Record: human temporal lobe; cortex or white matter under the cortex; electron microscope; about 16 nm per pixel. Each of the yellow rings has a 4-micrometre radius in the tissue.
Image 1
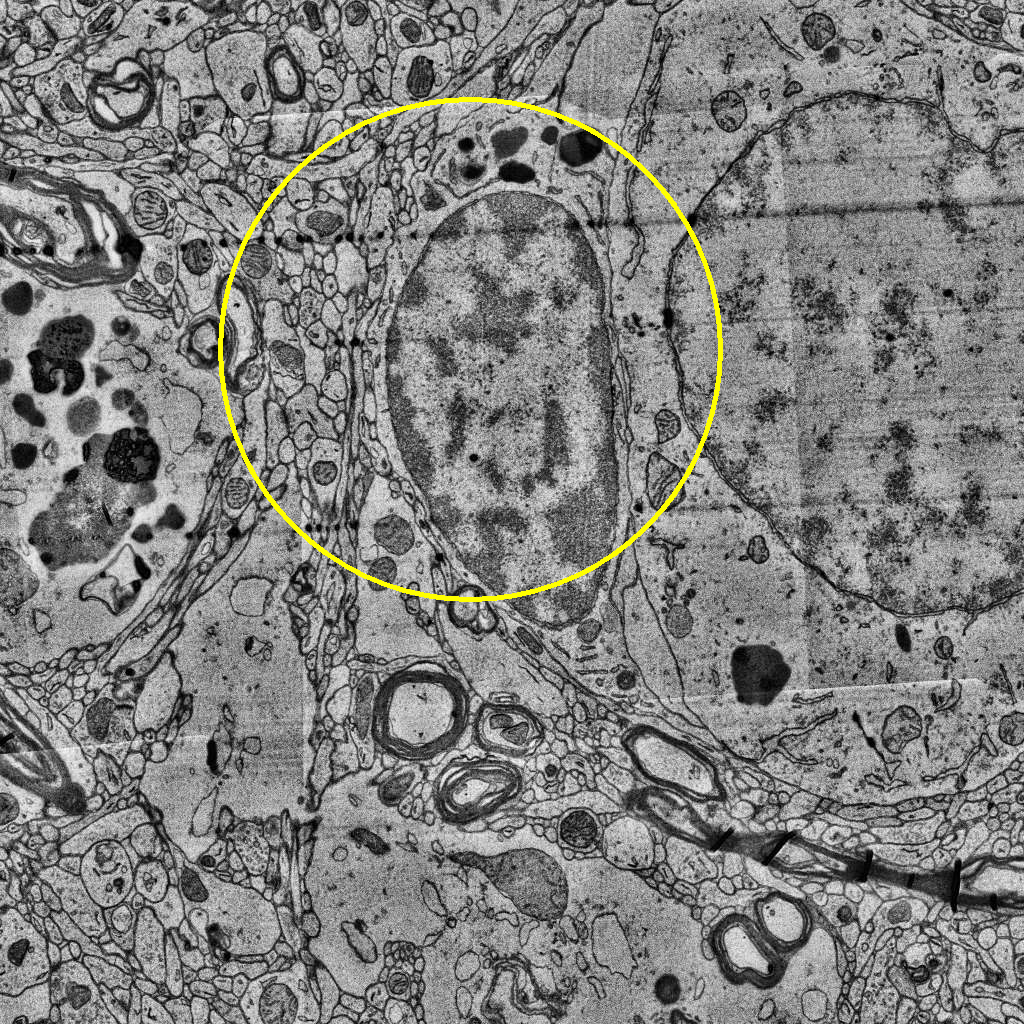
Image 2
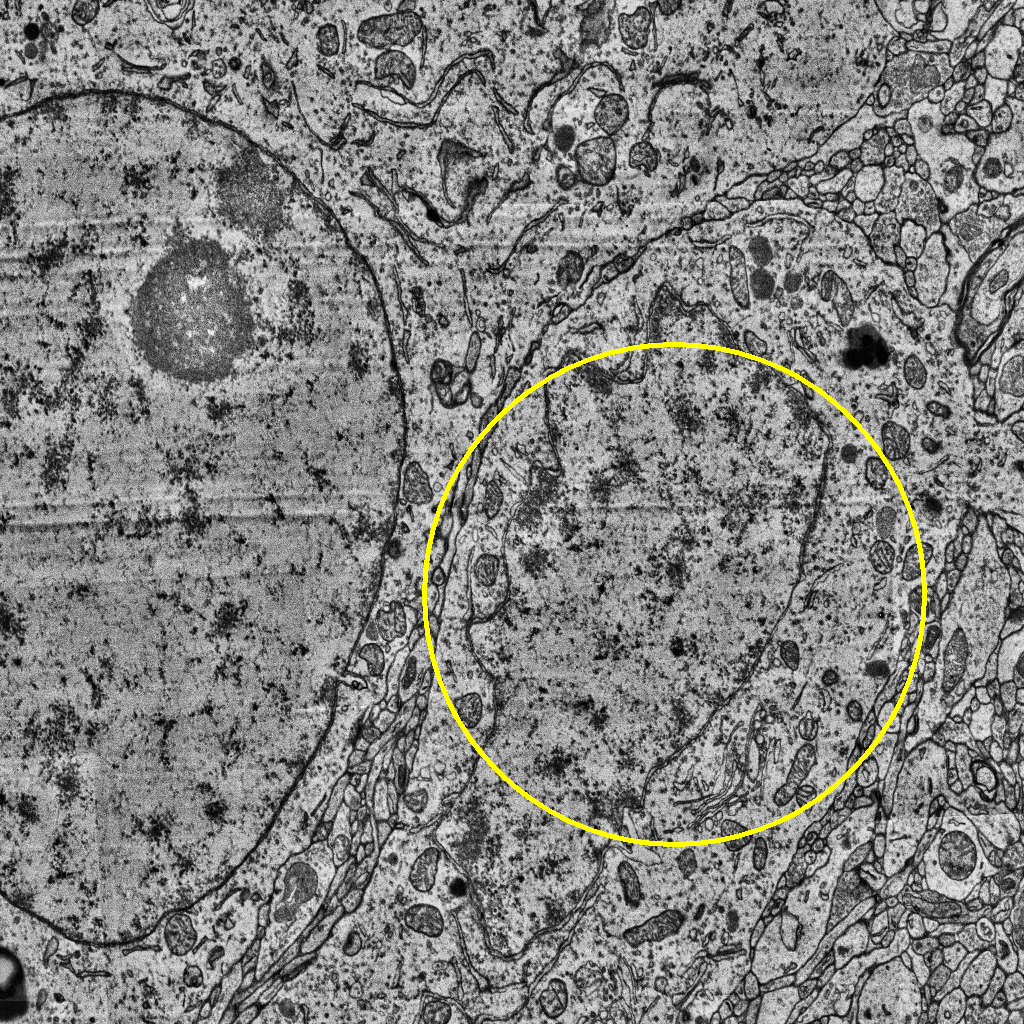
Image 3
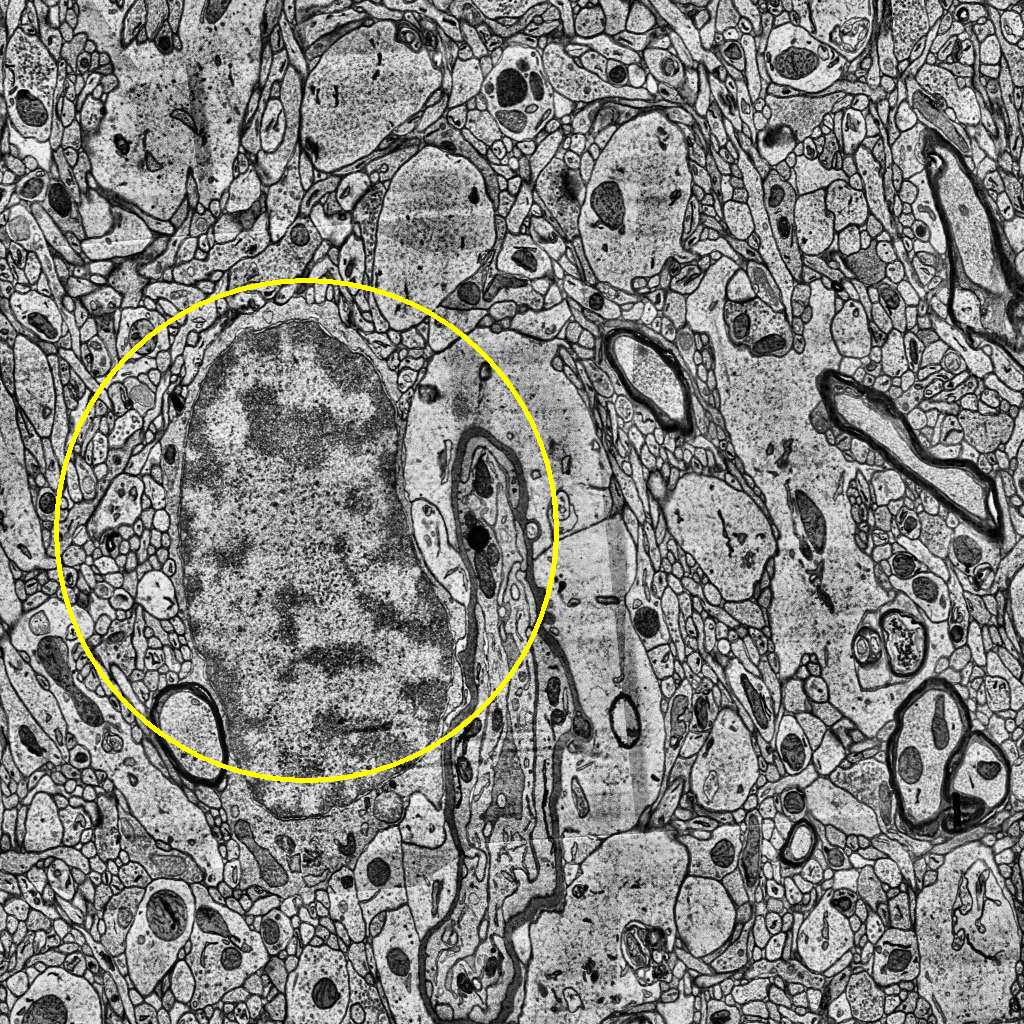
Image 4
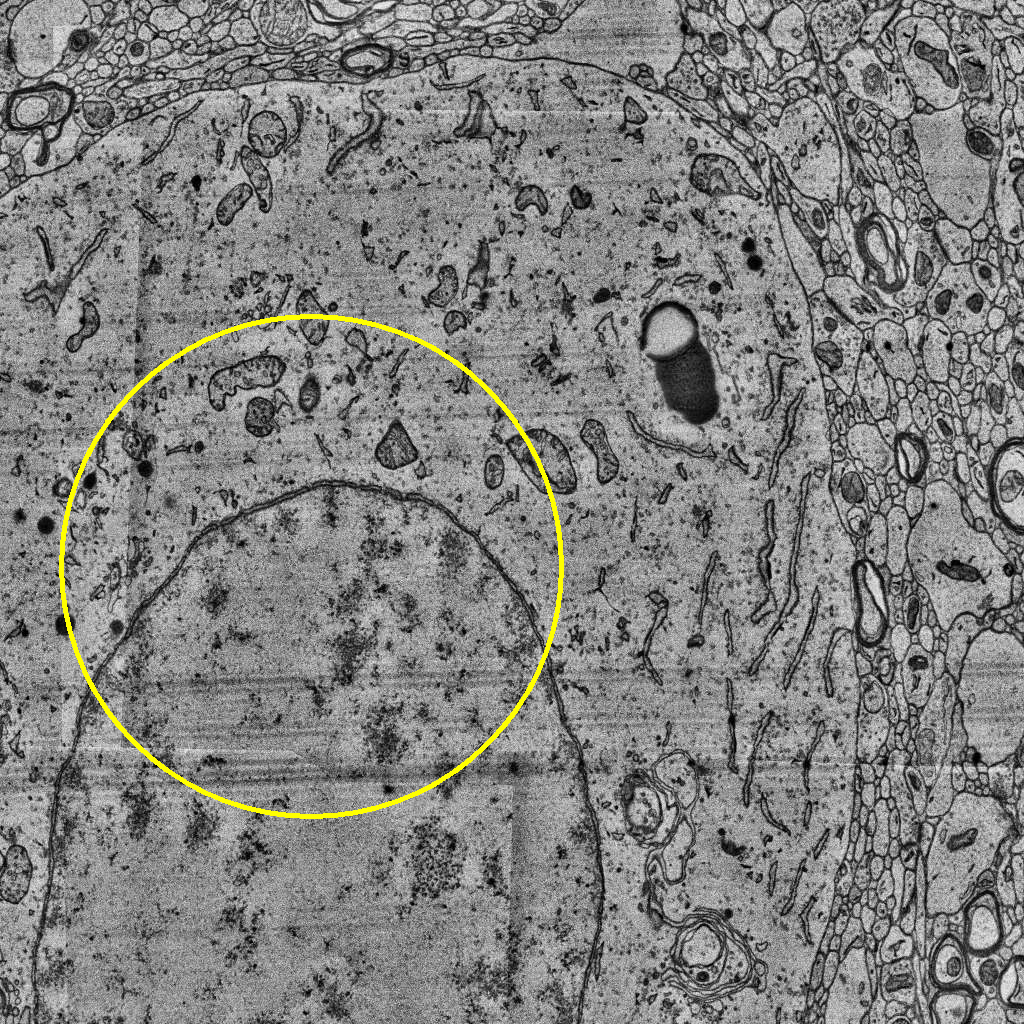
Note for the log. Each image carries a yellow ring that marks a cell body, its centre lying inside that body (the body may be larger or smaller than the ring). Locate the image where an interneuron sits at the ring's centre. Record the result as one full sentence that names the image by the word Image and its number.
Image 2 has the wanted cell sitting at the centre of its ring.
